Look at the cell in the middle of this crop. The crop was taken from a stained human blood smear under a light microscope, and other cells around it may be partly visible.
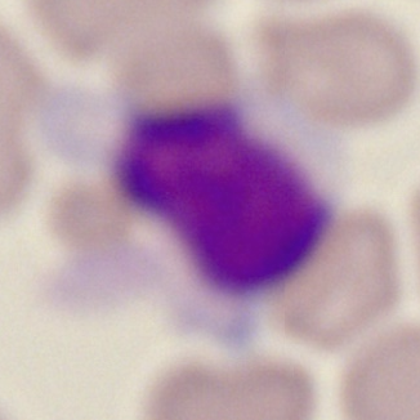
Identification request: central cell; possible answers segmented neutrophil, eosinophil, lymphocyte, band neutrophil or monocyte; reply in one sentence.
Whatever else lies nearby, the middle cell is a lymphocyte.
